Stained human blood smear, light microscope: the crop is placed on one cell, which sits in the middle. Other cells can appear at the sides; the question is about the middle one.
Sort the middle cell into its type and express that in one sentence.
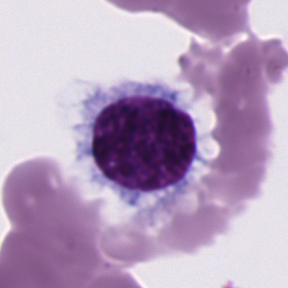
What the crop centres on is a hairy cell.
